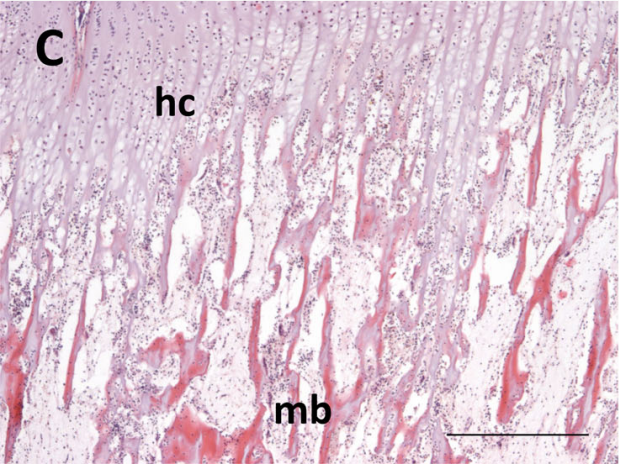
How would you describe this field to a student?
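Growth-plate cartilage with hypertrophic chondrocytes passes downward into metaphyseal bone. Large pale chondrocytes sit in lacunae arranged in vertical rows within purple-pink matrix, and long cartilage spicules extend down among pink-red bony trabeculae and cellular marrow spaces. No sharp border separates the cartilage from the bone below.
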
